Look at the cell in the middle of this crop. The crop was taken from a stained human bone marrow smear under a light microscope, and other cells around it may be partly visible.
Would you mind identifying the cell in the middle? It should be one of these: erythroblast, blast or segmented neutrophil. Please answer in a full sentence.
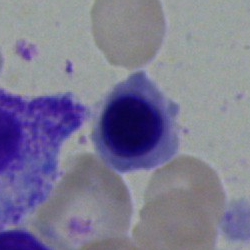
The cell that lies at the centre of the crop is an erythroblast.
